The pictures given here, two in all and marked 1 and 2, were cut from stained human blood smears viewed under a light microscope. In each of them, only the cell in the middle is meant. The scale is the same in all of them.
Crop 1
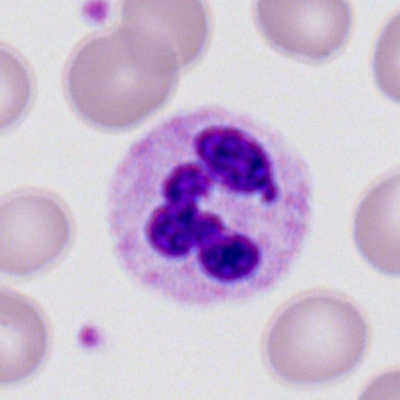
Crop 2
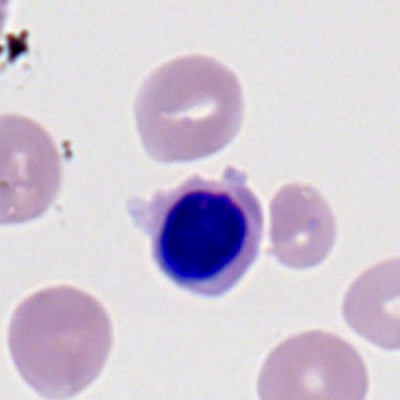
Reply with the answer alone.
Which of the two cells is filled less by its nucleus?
1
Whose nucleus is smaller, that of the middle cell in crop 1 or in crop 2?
2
